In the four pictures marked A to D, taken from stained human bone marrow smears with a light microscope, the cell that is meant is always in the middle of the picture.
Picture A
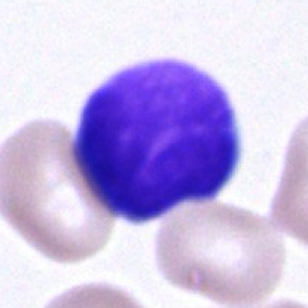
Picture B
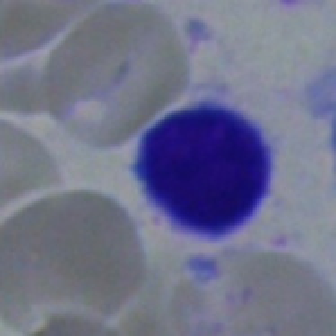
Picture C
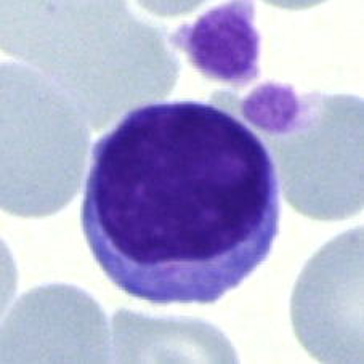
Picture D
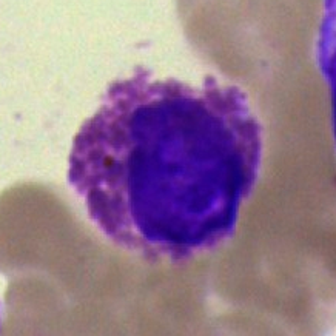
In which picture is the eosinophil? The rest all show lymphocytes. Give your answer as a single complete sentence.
The eosinophil is the one in picture D.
